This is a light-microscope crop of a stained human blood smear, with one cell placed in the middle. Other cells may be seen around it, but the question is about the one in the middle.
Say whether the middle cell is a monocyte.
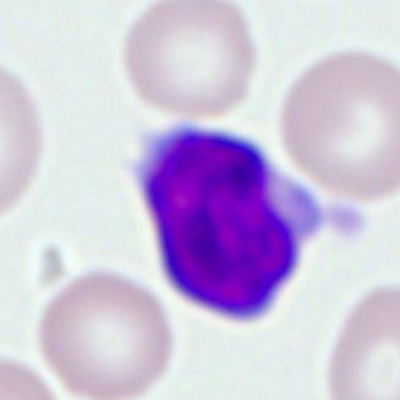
no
